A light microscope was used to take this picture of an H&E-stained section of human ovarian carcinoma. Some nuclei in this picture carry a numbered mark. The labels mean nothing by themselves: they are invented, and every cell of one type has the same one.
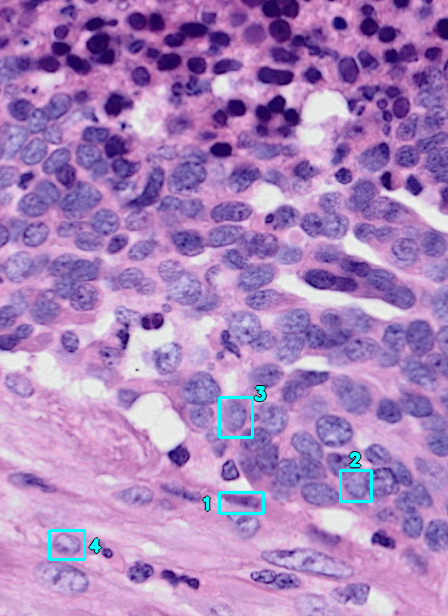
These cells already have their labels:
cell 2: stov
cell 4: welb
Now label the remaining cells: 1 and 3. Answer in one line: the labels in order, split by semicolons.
welb; stov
